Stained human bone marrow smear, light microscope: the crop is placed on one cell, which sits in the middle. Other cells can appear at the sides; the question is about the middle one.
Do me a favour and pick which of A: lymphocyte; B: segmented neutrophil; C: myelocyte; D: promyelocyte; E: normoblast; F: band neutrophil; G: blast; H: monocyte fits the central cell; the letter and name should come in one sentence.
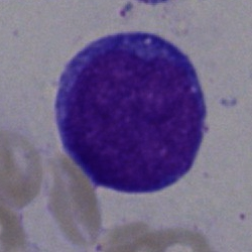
Option G is correct in naming the middle cell a blast.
